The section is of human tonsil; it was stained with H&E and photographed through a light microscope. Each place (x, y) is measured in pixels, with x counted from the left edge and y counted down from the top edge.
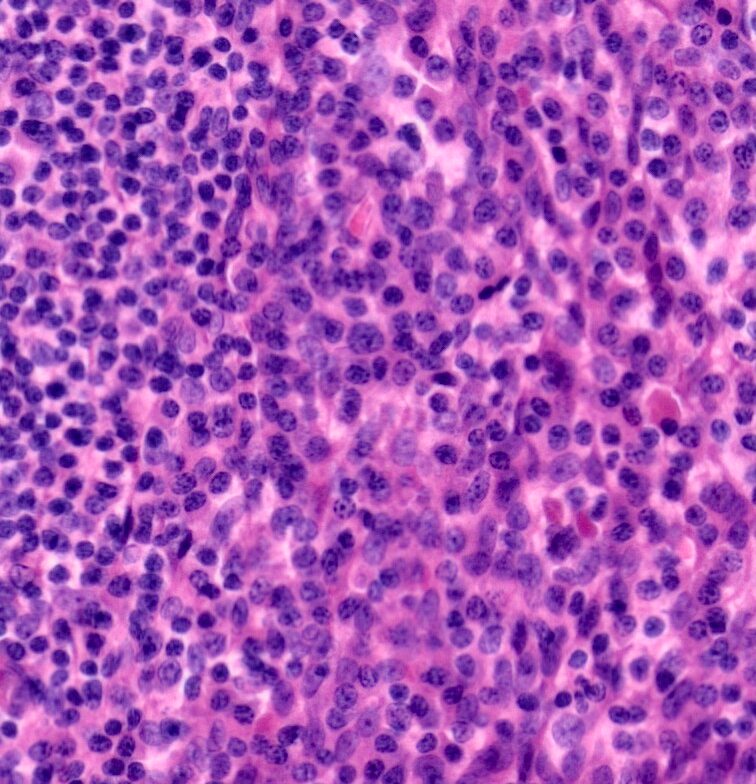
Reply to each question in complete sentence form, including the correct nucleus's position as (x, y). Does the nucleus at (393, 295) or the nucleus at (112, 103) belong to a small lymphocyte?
Of the two candidate nuclei, the one at (112, 103) is that of a small lymphocyte.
